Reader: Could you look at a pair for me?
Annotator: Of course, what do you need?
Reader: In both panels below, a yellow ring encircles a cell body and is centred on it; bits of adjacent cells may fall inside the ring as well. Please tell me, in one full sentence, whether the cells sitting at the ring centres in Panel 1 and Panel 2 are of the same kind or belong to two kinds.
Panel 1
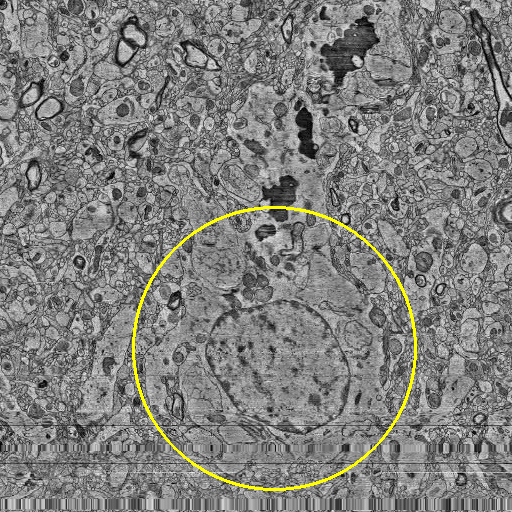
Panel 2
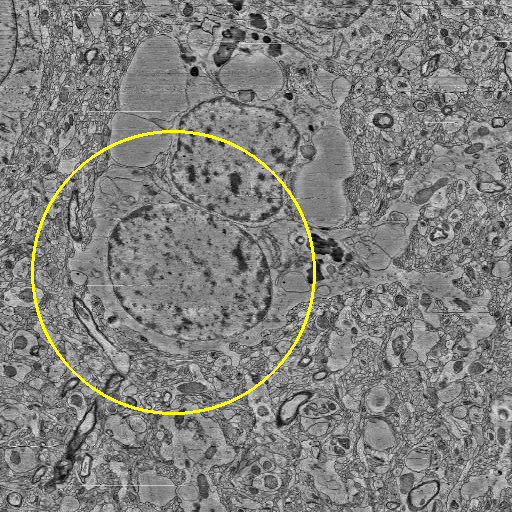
The cell at the ring's centre in Panel 1 and the one in Panel 2 are of the same kind.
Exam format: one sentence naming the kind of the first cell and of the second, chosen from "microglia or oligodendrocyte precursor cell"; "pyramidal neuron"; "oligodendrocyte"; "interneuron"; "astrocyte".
Both pictures show an astrocyte at the centre of the ring.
